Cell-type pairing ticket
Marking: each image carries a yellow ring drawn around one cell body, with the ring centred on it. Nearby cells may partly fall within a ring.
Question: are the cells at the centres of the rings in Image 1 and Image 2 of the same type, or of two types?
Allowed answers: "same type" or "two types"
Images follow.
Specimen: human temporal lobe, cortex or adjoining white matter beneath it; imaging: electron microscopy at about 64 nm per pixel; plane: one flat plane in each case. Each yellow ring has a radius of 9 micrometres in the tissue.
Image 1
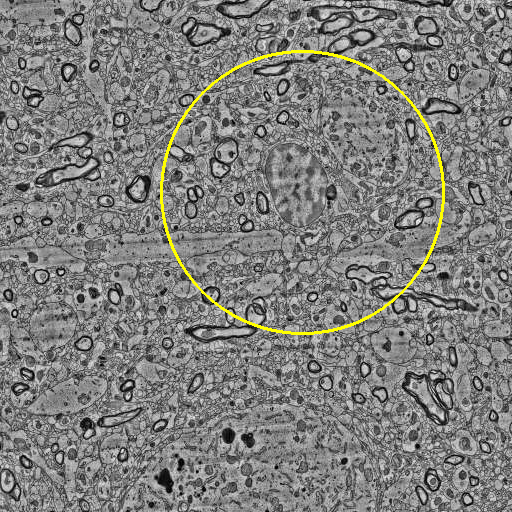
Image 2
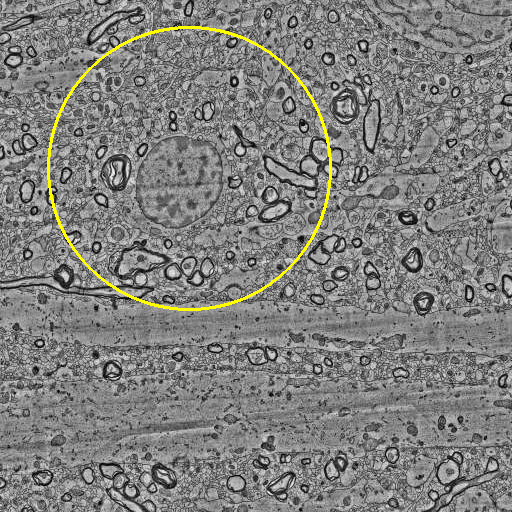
two types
